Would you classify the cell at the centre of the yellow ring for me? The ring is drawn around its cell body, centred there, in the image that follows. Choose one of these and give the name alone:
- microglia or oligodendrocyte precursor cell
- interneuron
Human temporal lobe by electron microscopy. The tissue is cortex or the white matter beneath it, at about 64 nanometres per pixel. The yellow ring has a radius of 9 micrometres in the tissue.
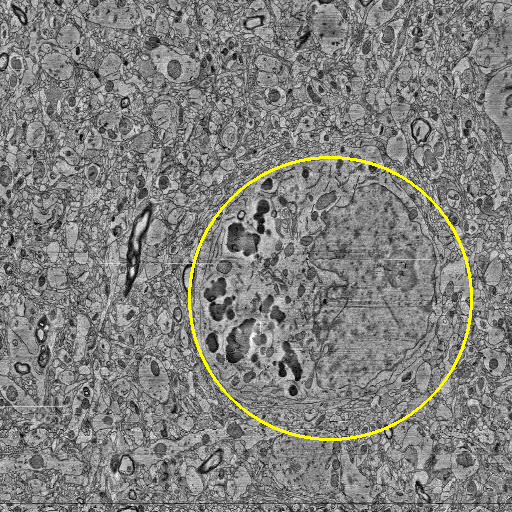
interneuron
